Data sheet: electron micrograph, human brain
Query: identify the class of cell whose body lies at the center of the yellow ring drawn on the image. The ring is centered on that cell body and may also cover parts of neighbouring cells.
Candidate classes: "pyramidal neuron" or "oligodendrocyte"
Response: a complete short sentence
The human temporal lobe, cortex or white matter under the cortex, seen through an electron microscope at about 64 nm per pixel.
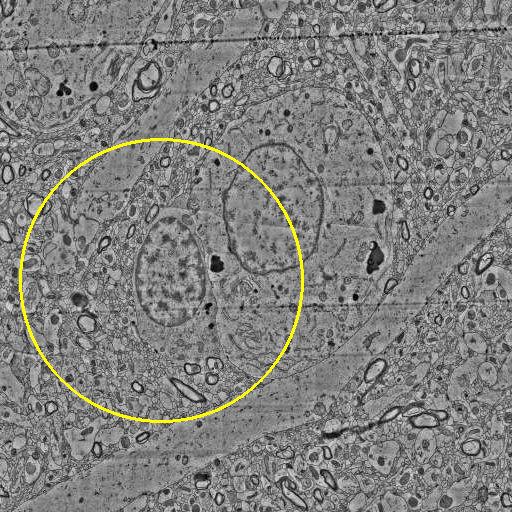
At the center of the ring lies an oligodendrocyte.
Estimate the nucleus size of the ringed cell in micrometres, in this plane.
Approximately 7 by 4 micrometers, which makes the nucleus clearly longer than it is wide in this plane.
